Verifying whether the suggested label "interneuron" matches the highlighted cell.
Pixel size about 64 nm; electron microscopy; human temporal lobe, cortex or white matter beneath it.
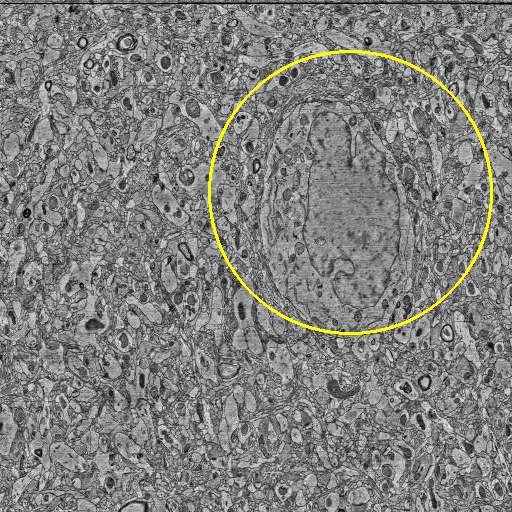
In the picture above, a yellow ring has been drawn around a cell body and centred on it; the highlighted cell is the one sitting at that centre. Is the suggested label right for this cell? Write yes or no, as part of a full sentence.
Yes, the suggested label is right for the cell centred in the yellow ring.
